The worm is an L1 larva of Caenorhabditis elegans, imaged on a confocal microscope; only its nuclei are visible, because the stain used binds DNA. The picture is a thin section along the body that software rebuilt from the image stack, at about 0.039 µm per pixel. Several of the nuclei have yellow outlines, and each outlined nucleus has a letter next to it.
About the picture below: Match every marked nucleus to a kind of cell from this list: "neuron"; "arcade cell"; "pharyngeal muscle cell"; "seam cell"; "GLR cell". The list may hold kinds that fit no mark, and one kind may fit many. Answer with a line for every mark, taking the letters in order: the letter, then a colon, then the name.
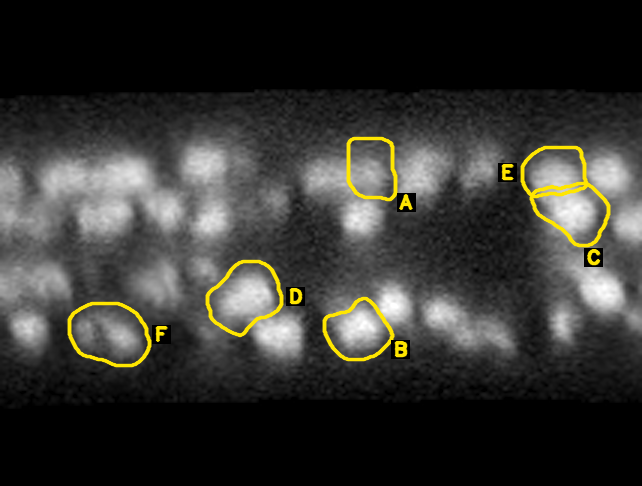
A: neuron
B: neuron
C: GLR cell
D: pharyngeal muscle cell
E: neuron
F: seam cell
